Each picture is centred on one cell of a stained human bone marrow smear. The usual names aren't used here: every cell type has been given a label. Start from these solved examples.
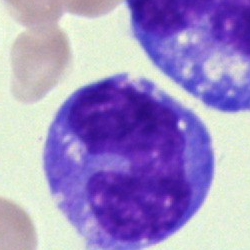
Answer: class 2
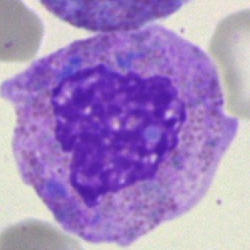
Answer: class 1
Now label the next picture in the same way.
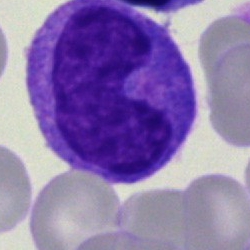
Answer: class 2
